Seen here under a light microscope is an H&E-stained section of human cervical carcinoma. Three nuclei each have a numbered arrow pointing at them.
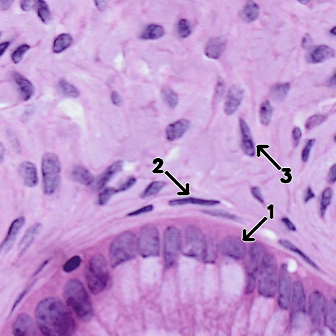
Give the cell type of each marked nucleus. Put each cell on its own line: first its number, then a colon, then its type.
1: secretory epithelial cell
2: fibroblast
3: fibroblast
